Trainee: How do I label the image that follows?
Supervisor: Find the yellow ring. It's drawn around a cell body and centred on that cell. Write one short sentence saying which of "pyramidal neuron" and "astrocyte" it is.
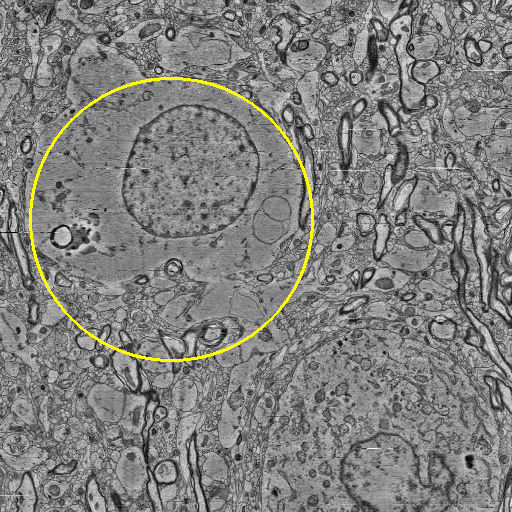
This is the cell body of an astrocyte.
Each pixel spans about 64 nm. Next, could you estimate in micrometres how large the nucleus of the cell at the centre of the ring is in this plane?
The nucleus appears about 9 micrometres across in this plane.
